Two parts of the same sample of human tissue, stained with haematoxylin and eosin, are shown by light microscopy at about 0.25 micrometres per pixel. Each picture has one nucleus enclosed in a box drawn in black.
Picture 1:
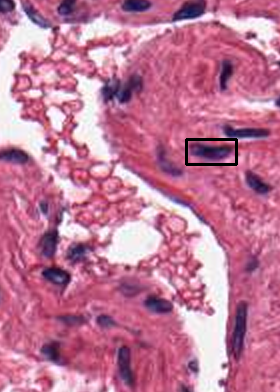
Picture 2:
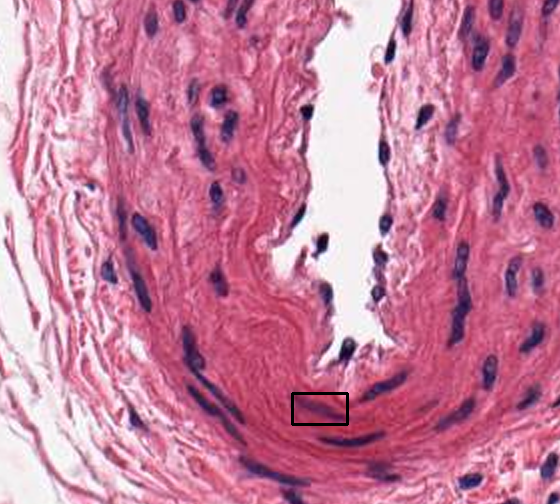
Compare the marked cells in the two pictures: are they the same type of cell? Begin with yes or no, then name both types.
Yes, both are smooth muscle cells.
